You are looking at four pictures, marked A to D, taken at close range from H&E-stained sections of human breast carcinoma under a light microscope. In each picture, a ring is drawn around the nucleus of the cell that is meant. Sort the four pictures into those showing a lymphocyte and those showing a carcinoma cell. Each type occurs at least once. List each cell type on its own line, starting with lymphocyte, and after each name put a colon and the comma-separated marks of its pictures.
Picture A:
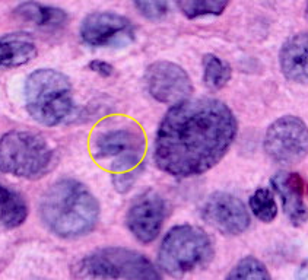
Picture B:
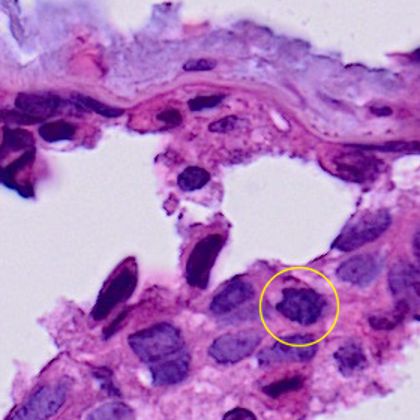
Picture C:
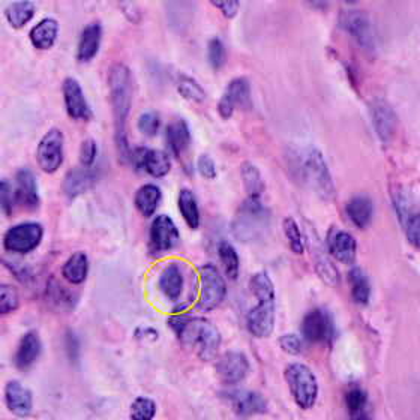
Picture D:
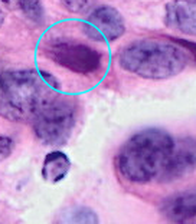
lymphocyte: C
carcinoma cell: A, B, D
